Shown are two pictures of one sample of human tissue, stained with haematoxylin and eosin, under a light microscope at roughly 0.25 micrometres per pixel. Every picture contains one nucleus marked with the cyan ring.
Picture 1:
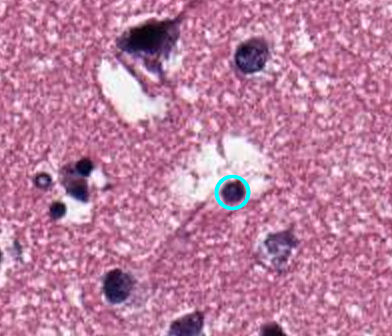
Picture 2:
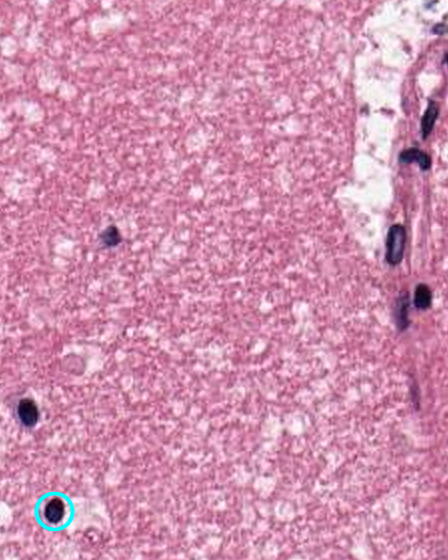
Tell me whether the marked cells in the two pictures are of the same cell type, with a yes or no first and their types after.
Yes, both are oligodendrocytes.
